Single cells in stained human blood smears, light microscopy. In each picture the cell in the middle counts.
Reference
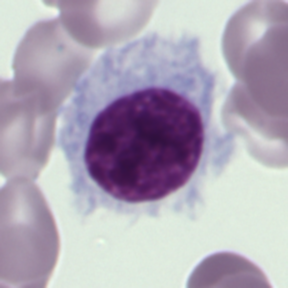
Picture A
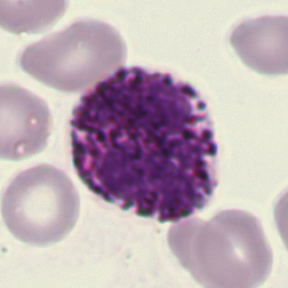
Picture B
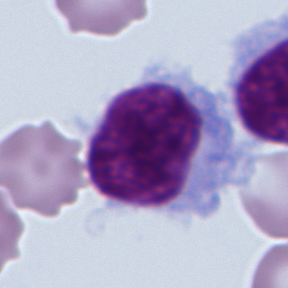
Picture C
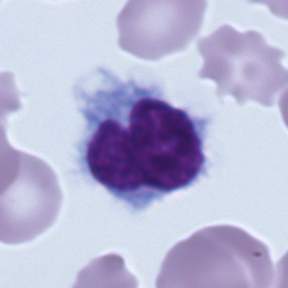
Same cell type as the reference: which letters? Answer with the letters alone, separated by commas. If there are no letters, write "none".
B, C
